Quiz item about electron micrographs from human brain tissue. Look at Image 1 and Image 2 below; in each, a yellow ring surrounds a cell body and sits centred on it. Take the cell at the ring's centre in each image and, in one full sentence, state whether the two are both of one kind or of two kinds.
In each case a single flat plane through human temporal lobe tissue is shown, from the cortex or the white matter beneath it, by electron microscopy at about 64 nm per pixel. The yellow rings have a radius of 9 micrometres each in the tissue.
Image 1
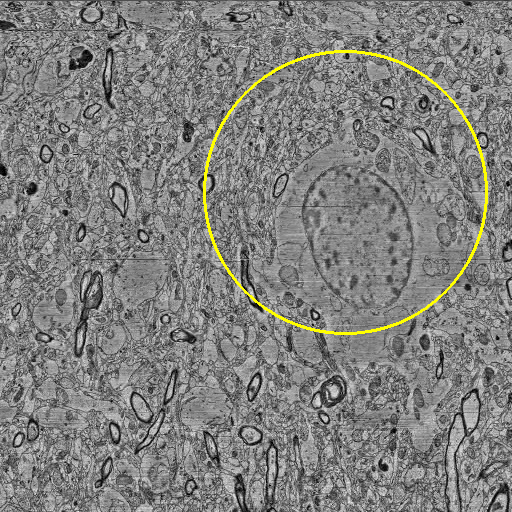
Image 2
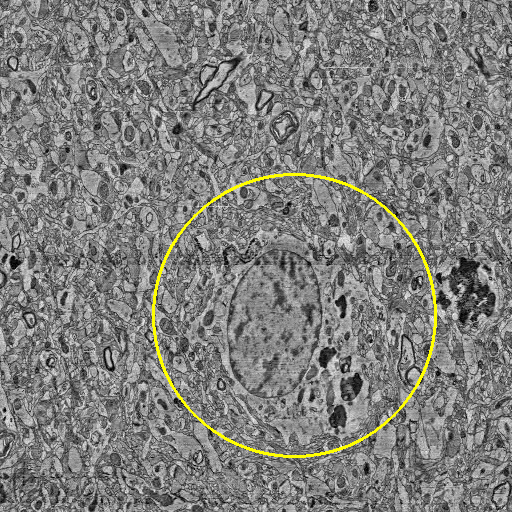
In Image 1 and Image 2, the cells at the ring centres are both of one kind.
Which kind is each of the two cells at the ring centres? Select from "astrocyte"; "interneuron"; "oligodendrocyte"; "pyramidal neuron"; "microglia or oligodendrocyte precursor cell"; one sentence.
Each one of the two ringed cells is an astrocyte.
